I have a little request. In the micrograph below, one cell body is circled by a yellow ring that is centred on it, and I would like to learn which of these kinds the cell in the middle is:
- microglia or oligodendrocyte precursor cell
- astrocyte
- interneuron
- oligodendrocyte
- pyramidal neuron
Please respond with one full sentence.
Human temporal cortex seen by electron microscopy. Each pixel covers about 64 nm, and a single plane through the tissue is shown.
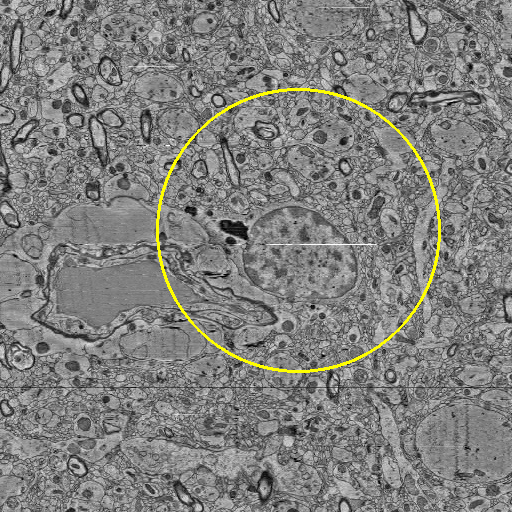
The cell sitting in the middle of the yellow ring in the micrograph is an oligodendrocyte.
